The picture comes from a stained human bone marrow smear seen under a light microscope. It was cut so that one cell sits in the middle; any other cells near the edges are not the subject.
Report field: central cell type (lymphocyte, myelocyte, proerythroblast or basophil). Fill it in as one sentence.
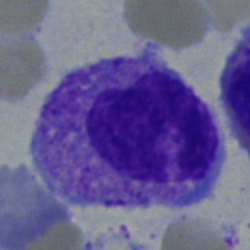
Located at the centre of the crop is a myelocyte.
